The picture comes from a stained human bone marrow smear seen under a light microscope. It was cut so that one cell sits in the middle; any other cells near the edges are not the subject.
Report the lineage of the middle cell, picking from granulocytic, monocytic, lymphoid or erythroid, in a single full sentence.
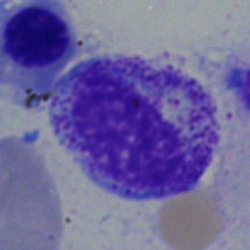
The cell in the middle belongs to the granulocytic lineage.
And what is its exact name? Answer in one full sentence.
The middle of this crop is occupied by a myelocyte.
